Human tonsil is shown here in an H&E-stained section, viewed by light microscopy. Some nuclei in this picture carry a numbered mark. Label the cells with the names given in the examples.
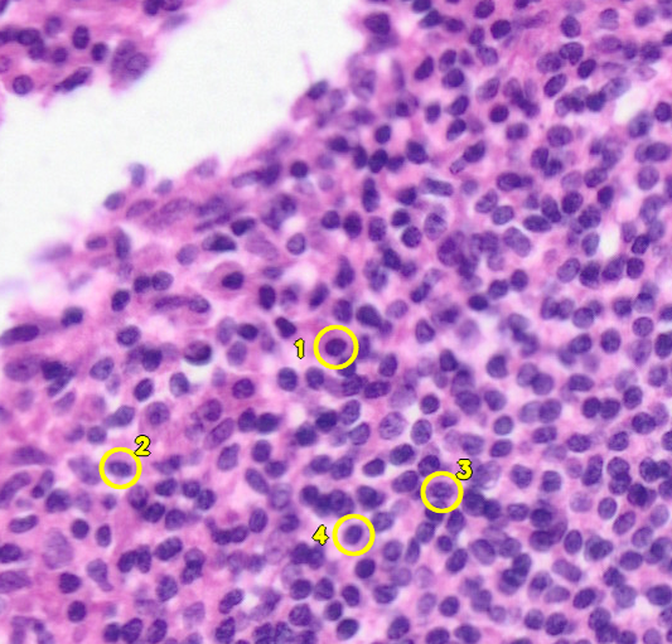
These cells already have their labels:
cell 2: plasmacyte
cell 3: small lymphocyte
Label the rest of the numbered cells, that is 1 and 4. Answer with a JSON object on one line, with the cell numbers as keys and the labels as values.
{"1": "plasmacyte", "4": "small lymphocyte"}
